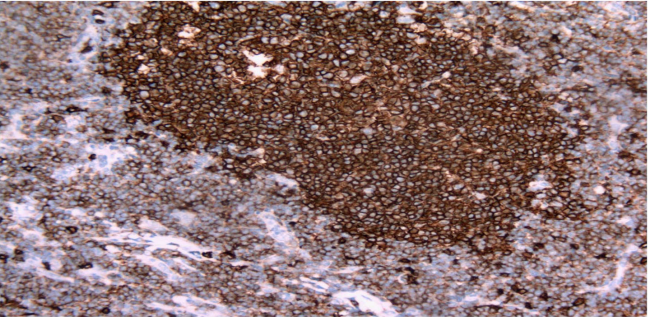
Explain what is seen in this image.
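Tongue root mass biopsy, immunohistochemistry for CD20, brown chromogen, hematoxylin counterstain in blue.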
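This section of the tumor shows densely packed neoplastic lymphoid cells with brown staining at their cell membranes. The brown rings outline each cell around a blue nucleus and are most intense in a large dense patch in the upper part of the field, while surrounding cells stain more weakly amid paler blue stromal strands.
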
